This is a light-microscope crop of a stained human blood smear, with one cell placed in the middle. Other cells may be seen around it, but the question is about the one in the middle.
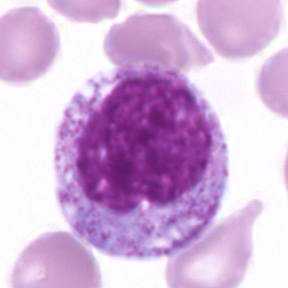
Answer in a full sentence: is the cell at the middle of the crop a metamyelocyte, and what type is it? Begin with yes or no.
No, the cell sitting in the centre of the crop is a myelocyte, not a metamyelocyte.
